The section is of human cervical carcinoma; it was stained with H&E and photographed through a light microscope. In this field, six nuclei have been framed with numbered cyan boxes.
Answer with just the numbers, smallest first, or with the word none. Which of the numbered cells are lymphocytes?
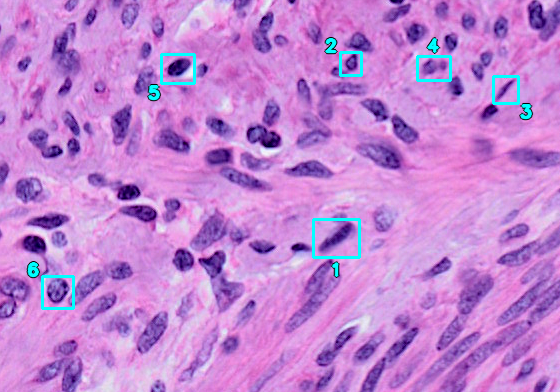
5, 6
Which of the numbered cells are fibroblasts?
1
